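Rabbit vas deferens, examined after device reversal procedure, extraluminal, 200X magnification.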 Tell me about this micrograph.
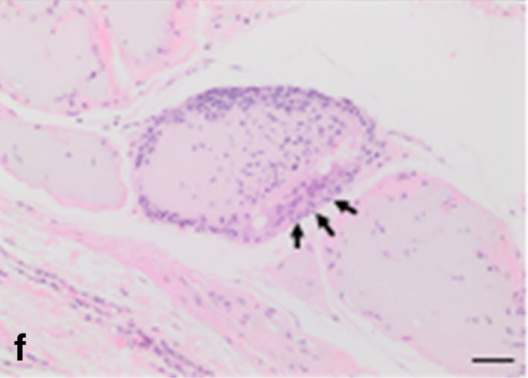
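Adventitial connective tissue with granulomatous inflammation around foreign-appearing material. One mass is surrounded by a dense rim of inflammatory cells with small dark purple nuclei, forming a walled-off nodule. At the edge of this material lie multinucleated giant cells, large cells with several nuclei clustered in a broad cytoplasm. The surrounding stroma consists of loose pink fibres with scattered elongated nuclei, and other pale masses nearby show little cellular reaction.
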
